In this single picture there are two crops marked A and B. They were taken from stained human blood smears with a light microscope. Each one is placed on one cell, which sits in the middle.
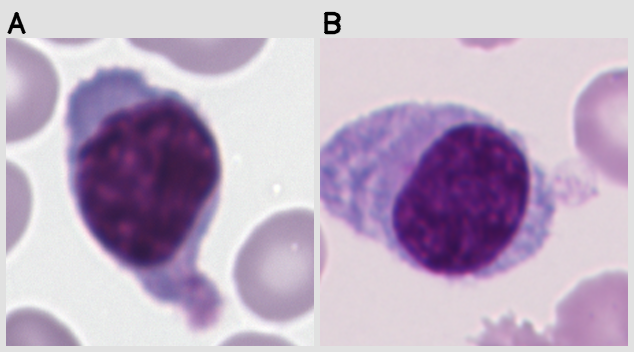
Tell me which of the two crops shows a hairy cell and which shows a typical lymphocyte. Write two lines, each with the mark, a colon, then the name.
A: typical lymphocyte
B: hairy cell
